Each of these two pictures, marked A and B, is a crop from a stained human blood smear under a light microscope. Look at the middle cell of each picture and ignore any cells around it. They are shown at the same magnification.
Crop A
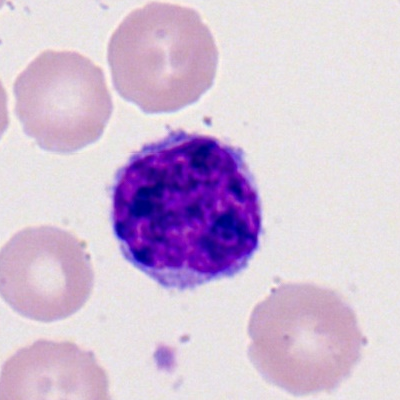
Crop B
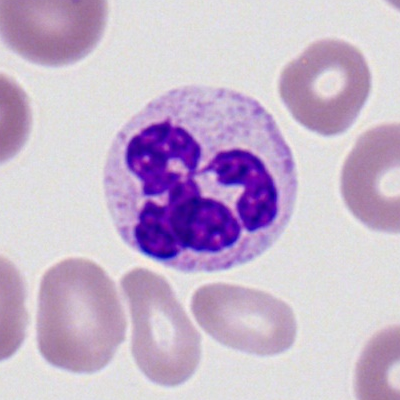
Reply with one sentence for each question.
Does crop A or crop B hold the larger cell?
It is the cell in crop B, about 1.5 times as large in area as the cell in crop A.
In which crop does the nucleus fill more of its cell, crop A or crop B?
The nucleus fills more of the cell in crop A than in crop B.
